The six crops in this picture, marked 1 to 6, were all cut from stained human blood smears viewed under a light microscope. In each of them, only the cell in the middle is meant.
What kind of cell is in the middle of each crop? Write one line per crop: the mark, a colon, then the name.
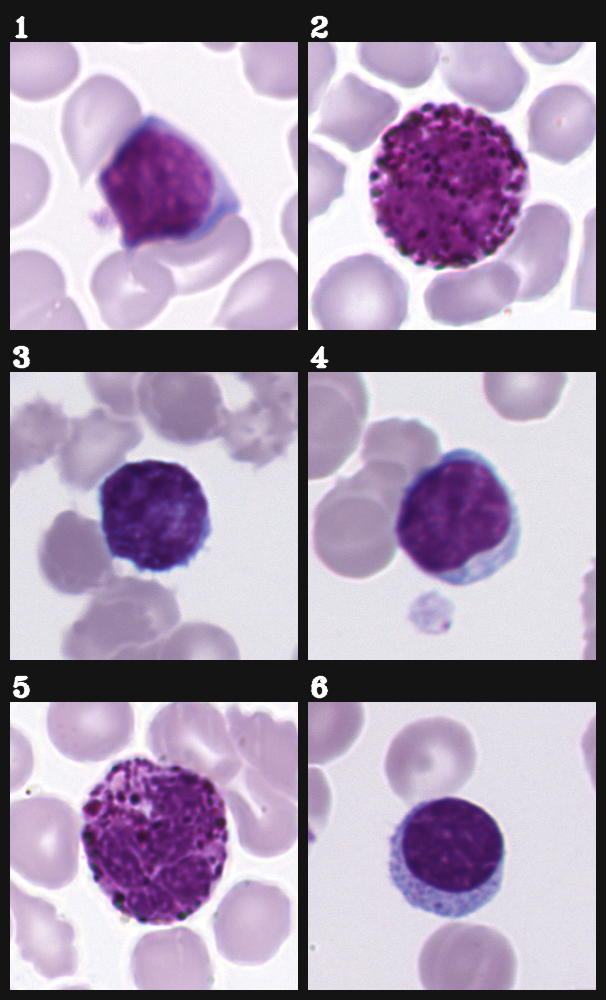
1: typical lymphocyte
2: basophil
3: typical lymphocyte
4: typical lymphocyte
5: basophil
6: typical lymphocyte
